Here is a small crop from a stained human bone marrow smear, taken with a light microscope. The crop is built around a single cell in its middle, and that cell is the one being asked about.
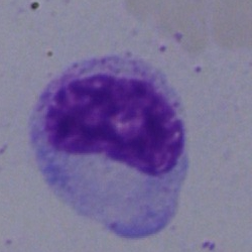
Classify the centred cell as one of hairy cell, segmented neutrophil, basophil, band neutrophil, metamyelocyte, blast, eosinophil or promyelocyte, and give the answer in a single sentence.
The cell that lies at the centre of the crop is a metamyelocyte.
